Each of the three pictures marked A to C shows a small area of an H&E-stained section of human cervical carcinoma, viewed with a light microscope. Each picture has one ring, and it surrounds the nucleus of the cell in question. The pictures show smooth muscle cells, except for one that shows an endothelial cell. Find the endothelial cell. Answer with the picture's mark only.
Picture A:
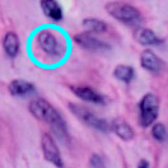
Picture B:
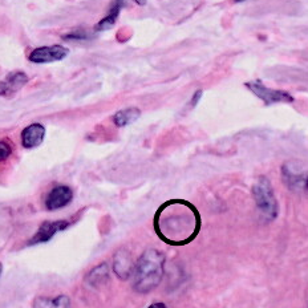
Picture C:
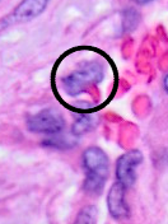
C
